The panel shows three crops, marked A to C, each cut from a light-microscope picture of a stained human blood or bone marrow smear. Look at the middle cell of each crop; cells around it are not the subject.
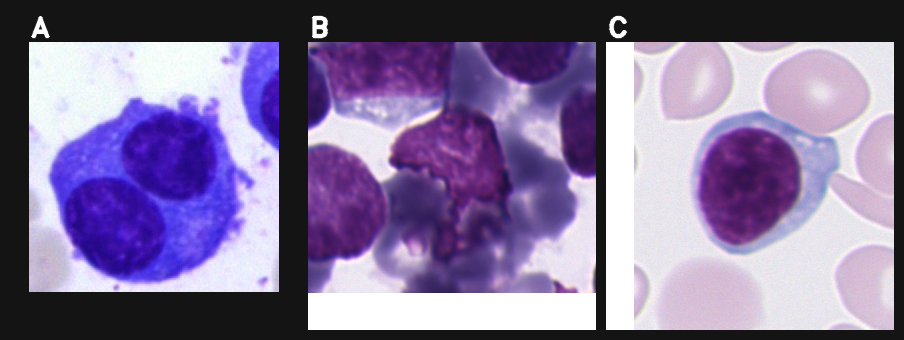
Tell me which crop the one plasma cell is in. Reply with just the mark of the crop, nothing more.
A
